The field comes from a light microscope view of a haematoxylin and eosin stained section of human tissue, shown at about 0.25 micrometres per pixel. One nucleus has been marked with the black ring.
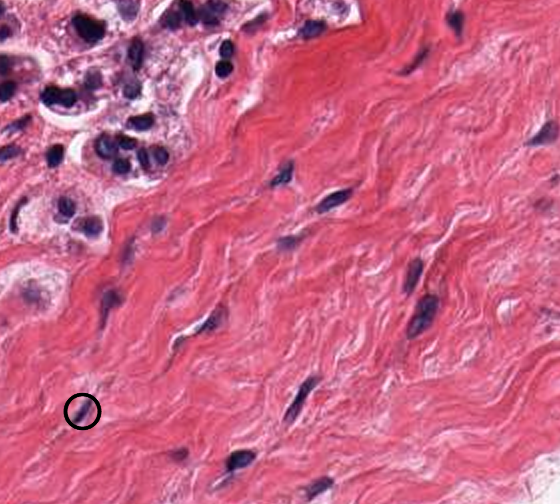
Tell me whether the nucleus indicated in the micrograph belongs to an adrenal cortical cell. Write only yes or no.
no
